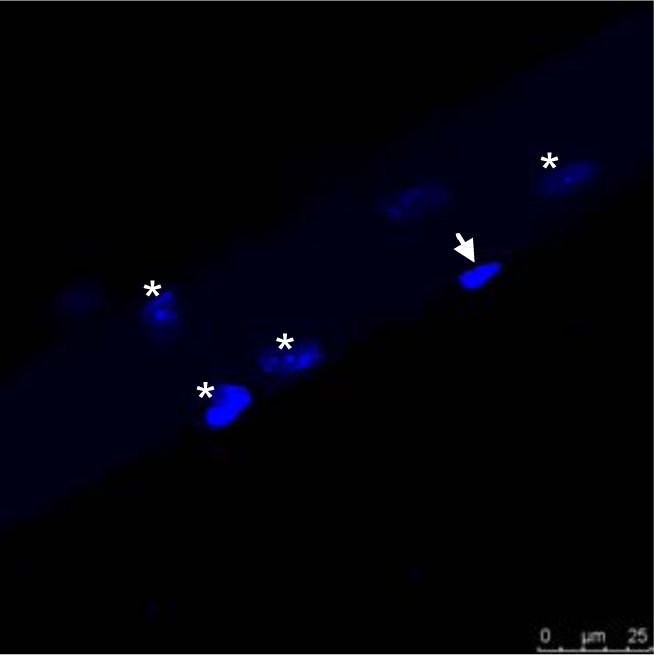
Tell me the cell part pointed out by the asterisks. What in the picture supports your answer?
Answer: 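Oval nuclei lie within the faintly stained fiber. They are spread along the length of the fiber. The answer: differentiated myonuclei.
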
